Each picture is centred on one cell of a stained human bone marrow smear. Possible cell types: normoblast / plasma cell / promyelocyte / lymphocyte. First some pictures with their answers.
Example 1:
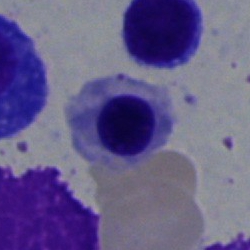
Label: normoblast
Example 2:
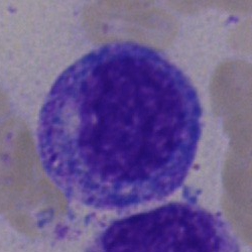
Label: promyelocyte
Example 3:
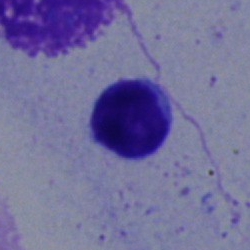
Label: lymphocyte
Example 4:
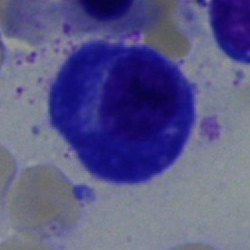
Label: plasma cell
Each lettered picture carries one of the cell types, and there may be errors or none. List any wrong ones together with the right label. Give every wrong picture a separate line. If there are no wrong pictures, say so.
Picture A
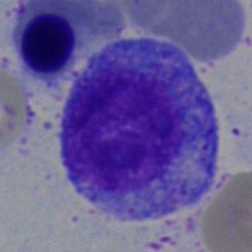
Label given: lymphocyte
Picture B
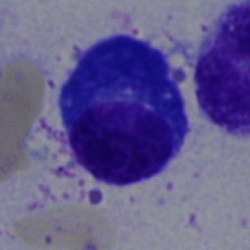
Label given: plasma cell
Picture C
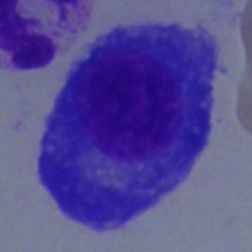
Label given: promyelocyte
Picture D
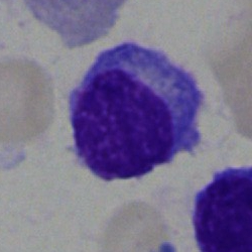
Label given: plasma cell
Wrong: A (lymphocyte); correct: promyelocyte
Wrong: C (promyelocyte); correct: plasma cell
